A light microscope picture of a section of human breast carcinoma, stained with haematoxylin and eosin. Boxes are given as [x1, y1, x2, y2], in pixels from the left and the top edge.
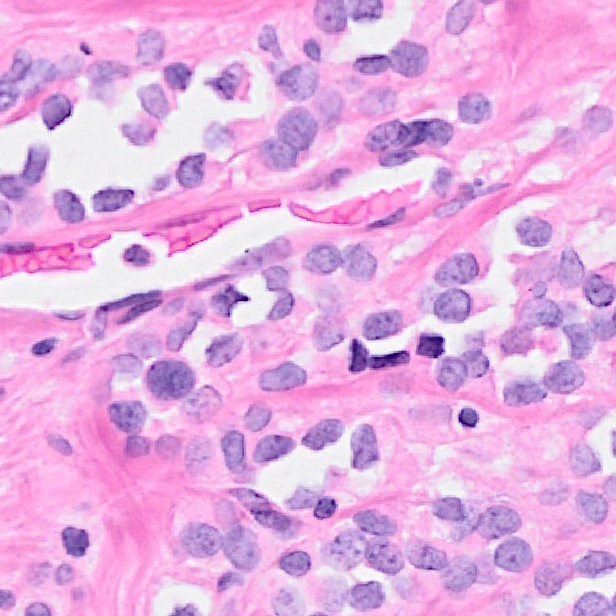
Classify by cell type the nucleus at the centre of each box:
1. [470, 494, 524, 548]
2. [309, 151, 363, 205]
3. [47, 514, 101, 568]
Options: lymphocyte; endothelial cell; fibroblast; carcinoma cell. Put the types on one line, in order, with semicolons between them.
carcinoma cell; endothelial cell; lymphocyte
